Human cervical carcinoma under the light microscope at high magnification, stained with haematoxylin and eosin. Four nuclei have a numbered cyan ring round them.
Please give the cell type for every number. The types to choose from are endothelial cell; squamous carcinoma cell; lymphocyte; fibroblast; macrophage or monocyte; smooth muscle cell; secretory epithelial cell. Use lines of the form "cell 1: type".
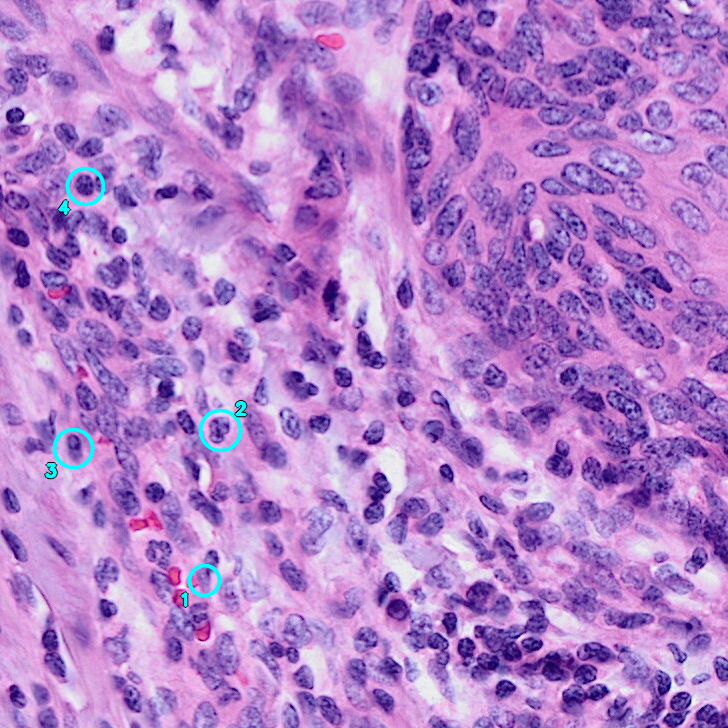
cell 1: endothelial cell
cell 2: lymphocyte
cell 3: lymphocyte
cell 4: lymphocyte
